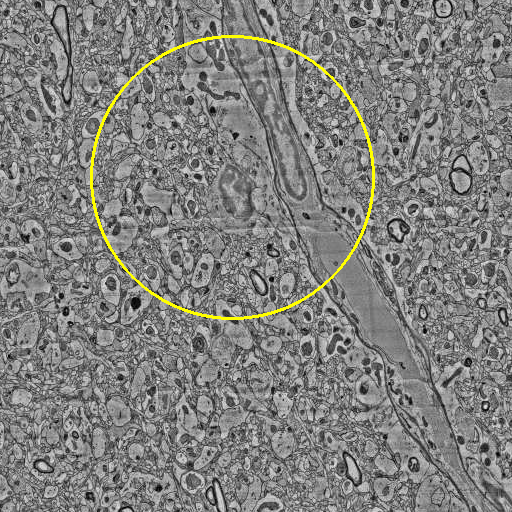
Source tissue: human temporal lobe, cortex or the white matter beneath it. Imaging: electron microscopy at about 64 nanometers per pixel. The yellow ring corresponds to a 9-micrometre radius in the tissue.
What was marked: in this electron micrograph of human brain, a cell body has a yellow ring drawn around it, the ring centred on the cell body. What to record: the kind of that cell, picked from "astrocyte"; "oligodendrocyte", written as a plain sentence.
The centred cell is an oligodendrocyte.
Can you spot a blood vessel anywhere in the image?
Yes, one appears.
